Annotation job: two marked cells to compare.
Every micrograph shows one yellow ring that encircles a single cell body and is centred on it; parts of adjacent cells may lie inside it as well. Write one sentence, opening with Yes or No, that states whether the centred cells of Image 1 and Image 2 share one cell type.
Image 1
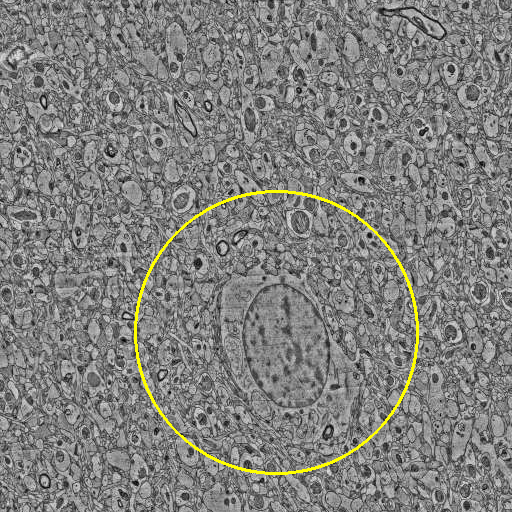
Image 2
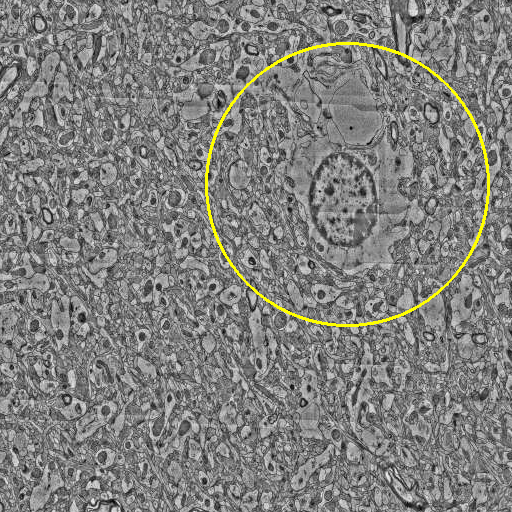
Yes, the cell centred in Image 1 shares its type with the cell centred in Image 2.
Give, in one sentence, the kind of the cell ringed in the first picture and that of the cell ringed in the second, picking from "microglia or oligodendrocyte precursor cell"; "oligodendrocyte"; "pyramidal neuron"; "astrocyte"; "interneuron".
Each of the ringed cells, first and second, is an astrocyte.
